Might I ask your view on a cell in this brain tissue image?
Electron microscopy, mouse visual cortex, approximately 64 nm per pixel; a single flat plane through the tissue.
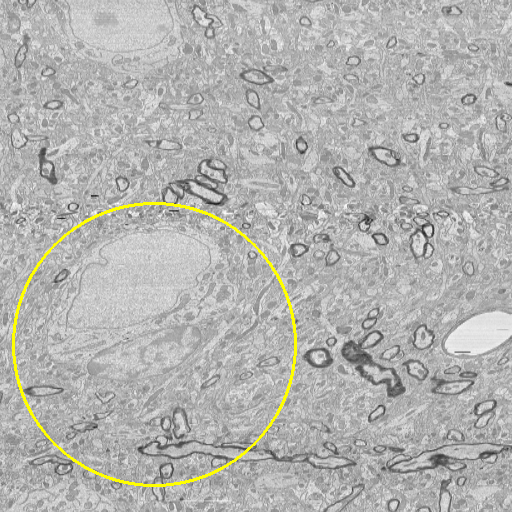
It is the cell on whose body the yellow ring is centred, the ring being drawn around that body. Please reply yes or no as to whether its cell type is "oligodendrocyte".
yes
